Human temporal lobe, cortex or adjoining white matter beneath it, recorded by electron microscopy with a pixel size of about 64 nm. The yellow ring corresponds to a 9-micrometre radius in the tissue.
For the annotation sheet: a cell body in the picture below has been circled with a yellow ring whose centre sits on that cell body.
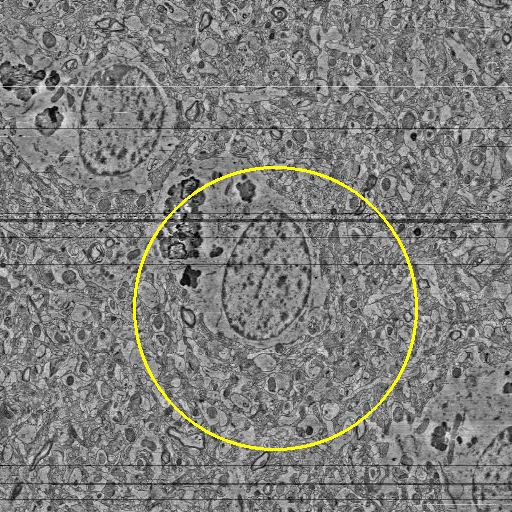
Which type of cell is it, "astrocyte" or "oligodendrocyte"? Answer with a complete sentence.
The circled cell is an astrocyte.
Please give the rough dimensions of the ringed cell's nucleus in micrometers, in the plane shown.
In this plane the nucleus is clearly longer than it is wide, at approximately 8 by 6 micrometres.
